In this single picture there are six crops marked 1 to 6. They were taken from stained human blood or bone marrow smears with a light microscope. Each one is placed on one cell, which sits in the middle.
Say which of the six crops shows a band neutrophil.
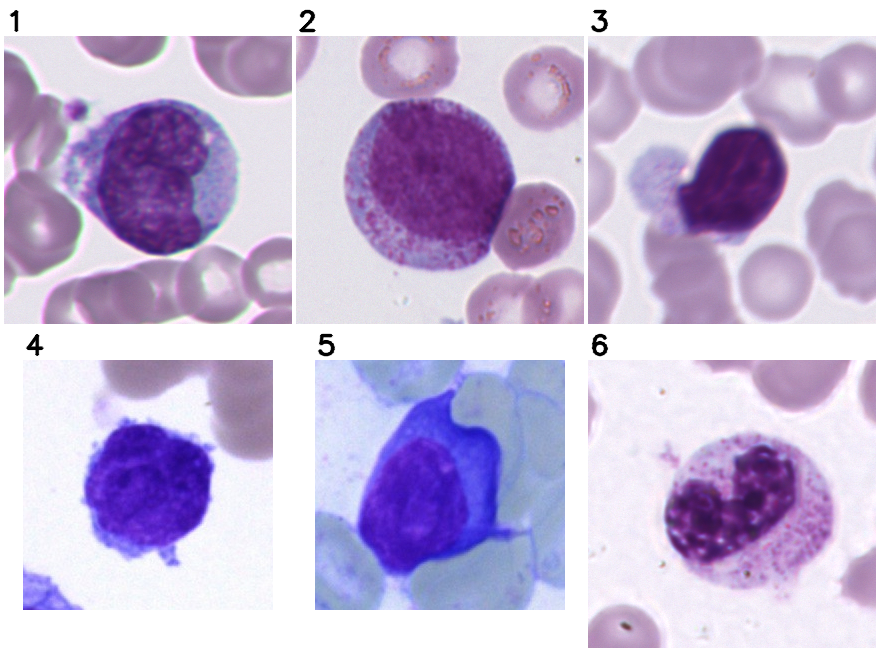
6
